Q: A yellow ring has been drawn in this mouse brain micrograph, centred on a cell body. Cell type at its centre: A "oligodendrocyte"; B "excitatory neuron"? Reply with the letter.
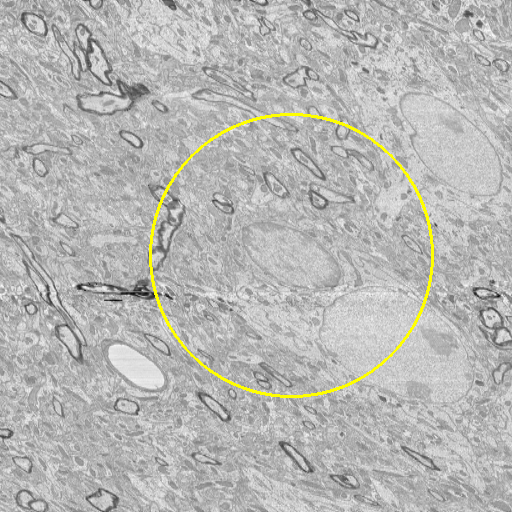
A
